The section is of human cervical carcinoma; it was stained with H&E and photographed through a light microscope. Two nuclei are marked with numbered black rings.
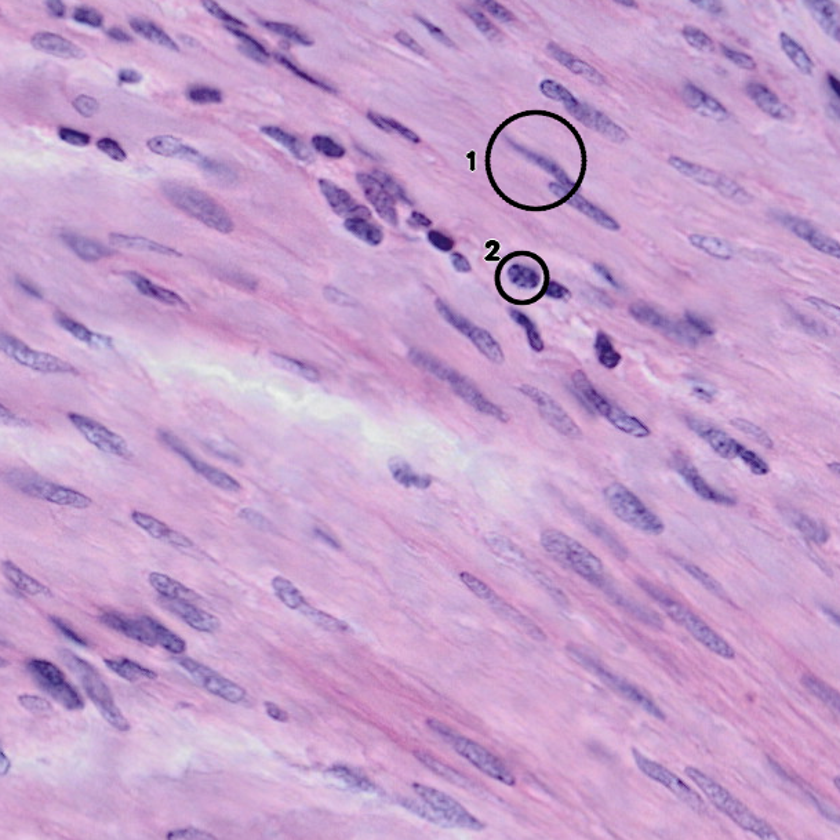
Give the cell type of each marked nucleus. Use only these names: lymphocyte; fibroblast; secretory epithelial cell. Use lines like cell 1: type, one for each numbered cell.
cell 1: fibroblast
cell 2: lymphocyte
